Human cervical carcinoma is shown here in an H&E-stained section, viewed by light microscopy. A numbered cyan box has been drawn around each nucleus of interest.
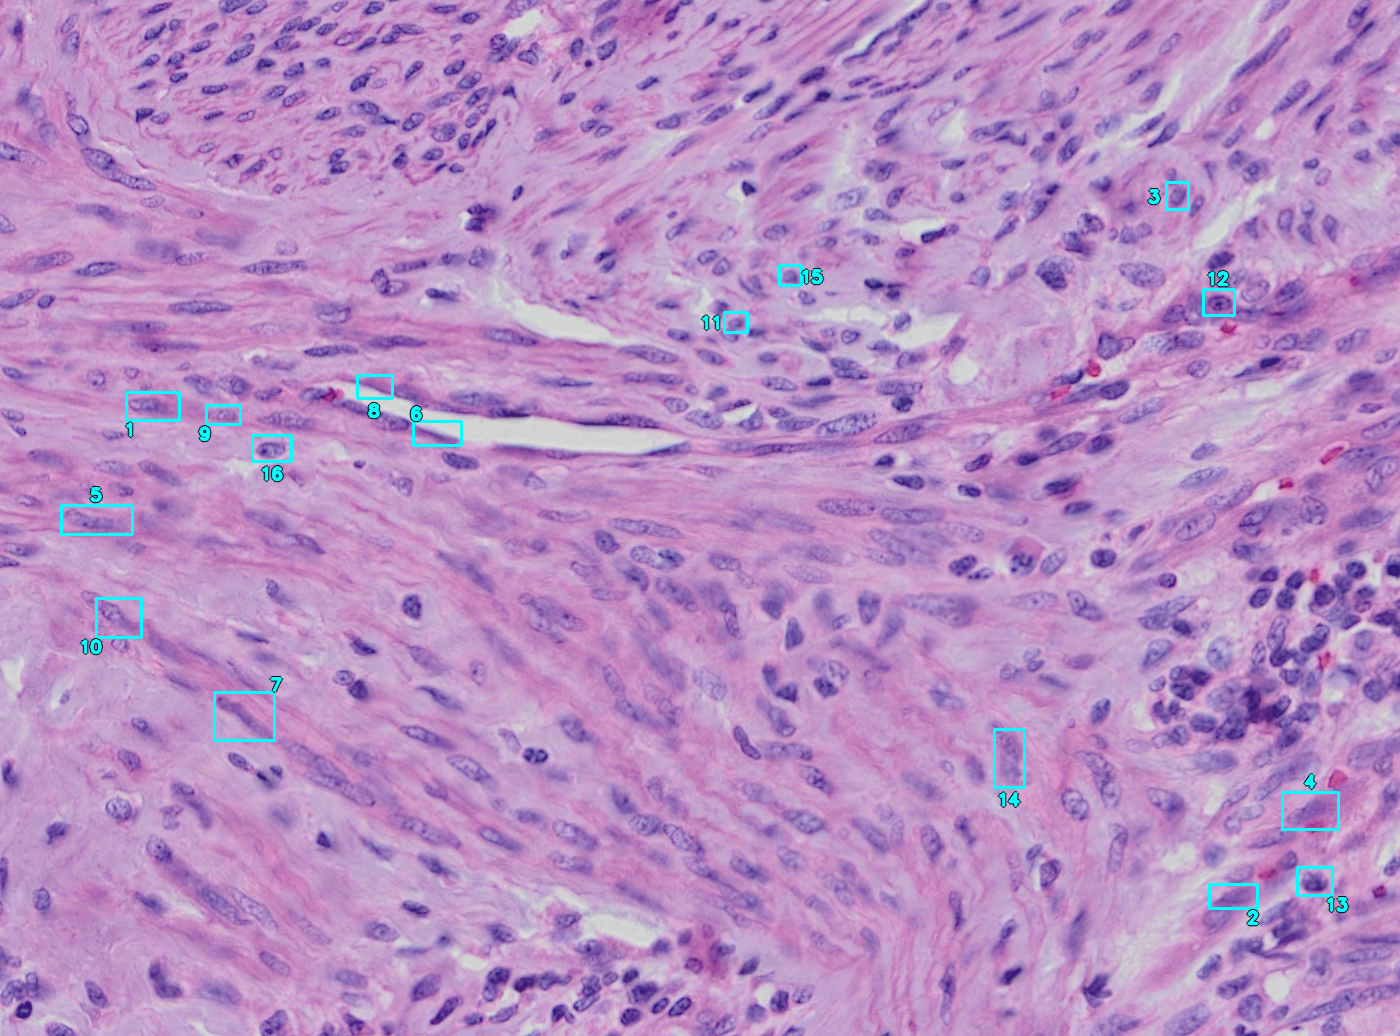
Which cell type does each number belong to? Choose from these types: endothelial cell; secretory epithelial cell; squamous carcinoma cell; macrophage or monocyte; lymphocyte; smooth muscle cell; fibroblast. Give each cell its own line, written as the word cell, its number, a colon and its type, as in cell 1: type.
cell 1: smooth muscle cell
cell 2: endothelial cell
cell 3: smooth muscle cell
cell 4: endothelial cell
cell 5: smooth muscle cell
cell 6: endothelial cell
cell 7: smooth muscle cell
cell 8: endothelial cell
cell 9: smooth muscle cell
cell 10: smooth muscle cell
cell 11: smooth muscle cell
cell 12: endothelial cell
cell 13: lymphocyte
cell 14: smooth muscle cell
cell 15: smooth muscle cell
cell 16: lymphocyte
